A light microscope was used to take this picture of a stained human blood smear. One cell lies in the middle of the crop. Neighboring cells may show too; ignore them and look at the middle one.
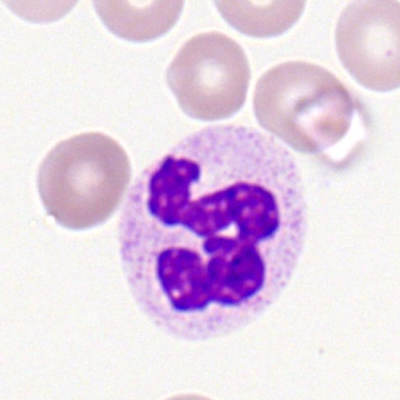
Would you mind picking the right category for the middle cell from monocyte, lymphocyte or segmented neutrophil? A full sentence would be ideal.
The middle of this crop is occupied by a segmented neutrophil.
